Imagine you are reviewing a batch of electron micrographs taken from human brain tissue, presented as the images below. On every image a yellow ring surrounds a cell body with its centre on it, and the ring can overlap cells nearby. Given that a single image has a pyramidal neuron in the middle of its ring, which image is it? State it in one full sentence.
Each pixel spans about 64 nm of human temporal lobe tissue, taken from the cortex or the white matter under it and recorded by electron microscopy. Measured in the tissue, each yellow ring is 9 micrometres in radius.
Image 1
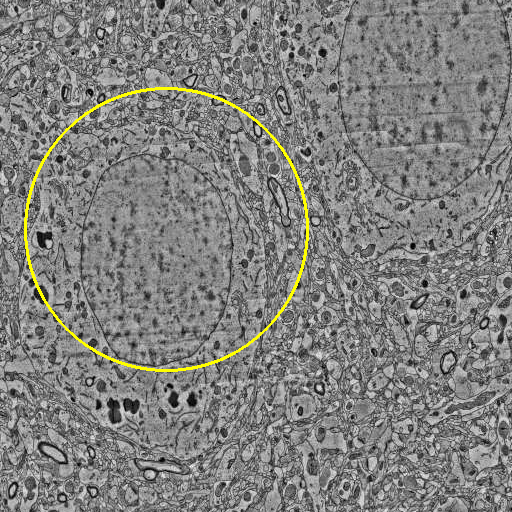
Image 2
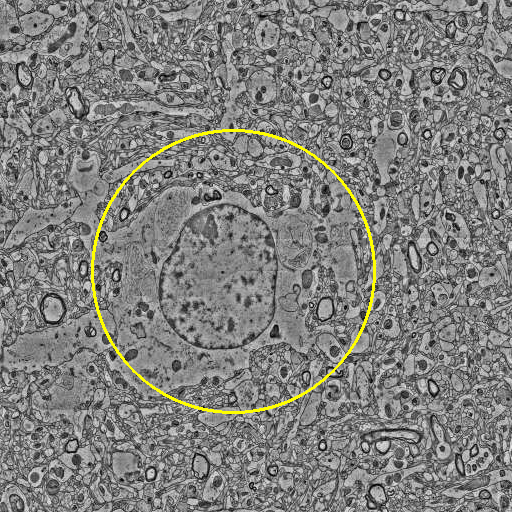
Of all the images, number 1 has the described cell at the centre of its ring.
